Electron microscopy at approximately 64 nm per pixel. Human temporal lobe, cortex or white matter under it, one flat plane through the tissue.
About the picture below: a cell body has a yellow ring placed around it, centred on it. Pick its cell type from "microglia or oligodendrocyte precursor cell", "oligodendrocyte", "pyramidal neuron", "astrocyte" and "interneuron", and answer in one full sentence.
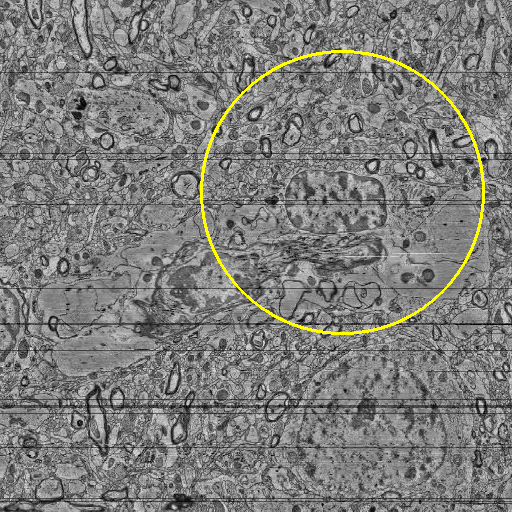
In the picture, a microglial cell or oligodendrocyte precursor cell is the cell sitting at the centre of the yellow ring.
